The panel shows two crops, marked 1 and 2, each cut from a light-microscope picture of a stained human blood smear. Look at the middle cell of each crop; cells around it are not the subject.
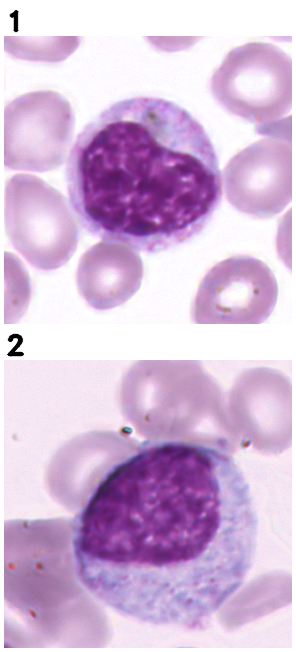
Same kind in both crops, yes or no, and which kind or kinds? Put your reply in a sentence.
No, a myelocyte is depicted in crop 2, whereas a metamyelocyte is depicted in crop 1.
